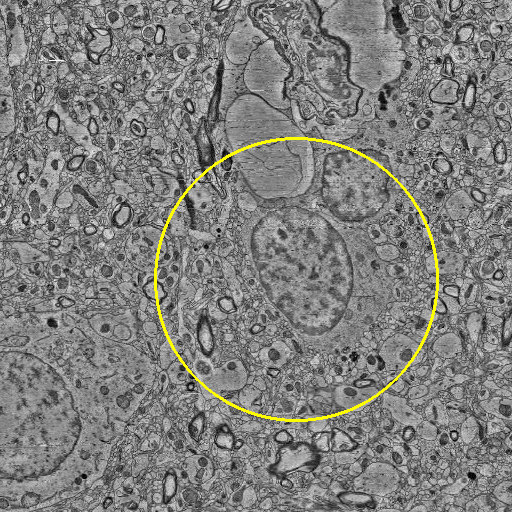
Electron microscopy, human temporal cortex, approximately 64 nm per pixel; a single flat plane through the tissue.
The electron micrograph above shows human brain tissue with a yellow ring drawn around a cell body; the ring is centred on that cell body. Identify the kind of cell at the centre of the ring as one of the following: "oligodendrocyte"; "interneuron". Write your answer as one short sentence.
The cell at the centre of the ring is an oligodendrocyte.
